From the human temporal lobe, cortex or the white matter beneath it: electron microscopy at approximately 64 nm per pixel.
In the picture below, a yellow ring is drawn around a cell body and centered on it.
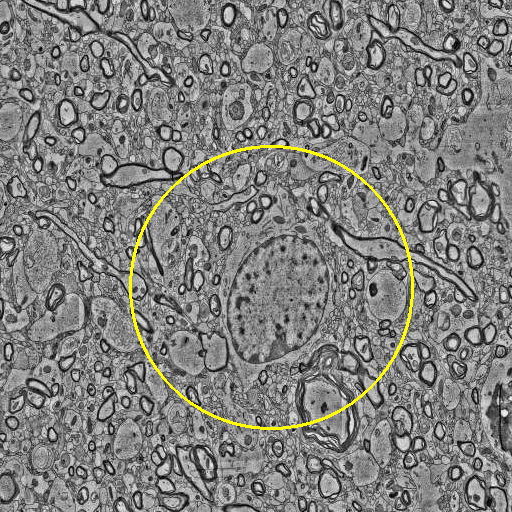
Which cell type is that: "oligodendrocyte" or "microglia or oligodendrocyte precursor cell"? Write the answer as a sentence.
The cell centered in the ring is a microglial cell or oligodendrocyte precursor cell.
